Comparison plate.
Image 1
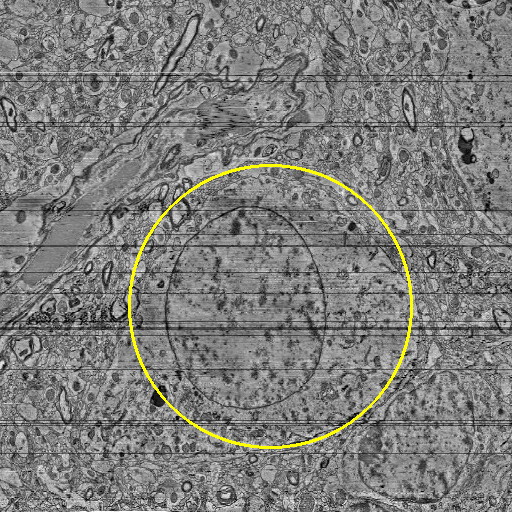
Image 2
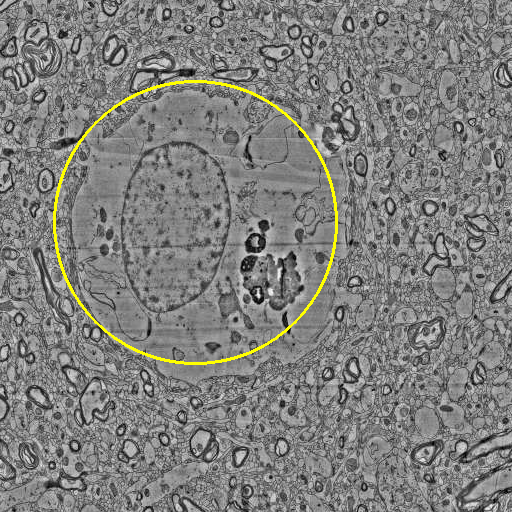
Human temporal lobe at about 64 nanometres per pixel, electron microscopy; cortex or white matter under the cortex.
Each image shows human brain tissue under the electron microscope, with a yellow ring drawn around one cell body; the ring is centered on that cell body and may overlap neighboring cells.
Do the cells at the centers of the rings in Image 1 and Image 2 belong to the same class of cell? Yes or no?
no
